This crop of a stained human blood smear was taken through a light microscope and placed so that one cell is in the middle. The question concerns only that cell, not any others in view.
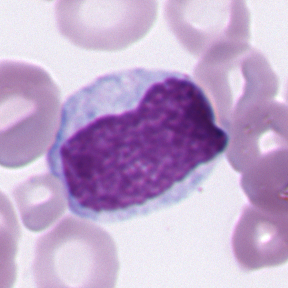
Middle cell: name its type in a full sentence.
On this slide crop, the central cell is a monocyte.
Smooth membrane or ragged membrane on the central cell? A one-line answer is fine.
Expected answer: a smooth cell outline without projections of any sort.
